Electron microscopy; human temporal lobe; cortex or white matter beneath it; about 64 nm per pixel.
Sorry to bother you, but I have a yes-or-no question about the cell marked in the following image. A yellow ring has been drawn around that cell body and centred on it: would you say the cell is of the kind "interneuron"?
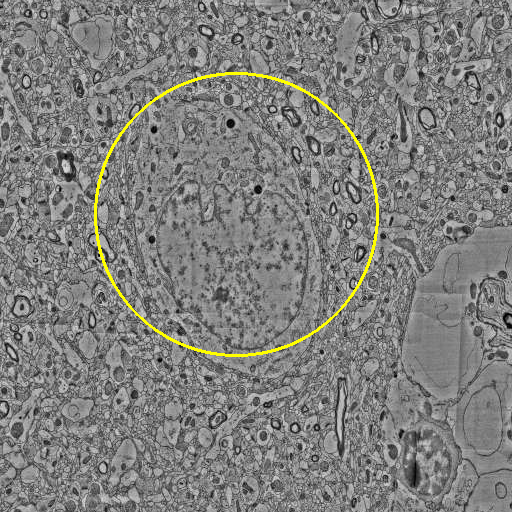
yes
